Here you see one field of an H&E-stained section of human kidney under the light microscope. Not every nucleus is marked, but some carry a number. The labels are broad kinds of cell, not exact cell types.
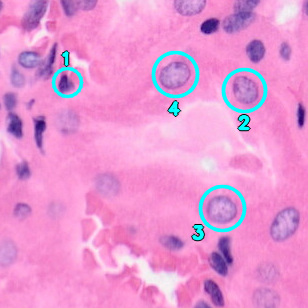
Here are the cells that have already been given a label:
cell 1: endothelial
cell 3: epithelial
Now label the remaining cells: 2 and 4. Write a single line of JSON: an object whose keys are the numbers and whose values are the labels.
{"2": "epithelial", "4": "epithelial"}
